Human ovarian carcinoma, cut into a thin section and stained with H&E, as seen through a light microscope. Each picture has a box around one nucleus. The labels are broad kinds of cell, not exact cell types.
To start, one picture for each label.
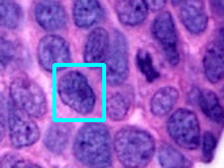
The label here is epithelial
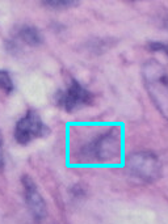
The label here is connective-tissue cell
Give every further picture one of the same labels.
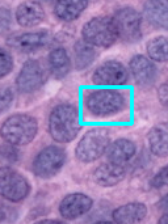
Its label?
epithelial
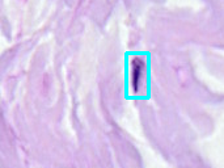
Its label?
connective-tissue cell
